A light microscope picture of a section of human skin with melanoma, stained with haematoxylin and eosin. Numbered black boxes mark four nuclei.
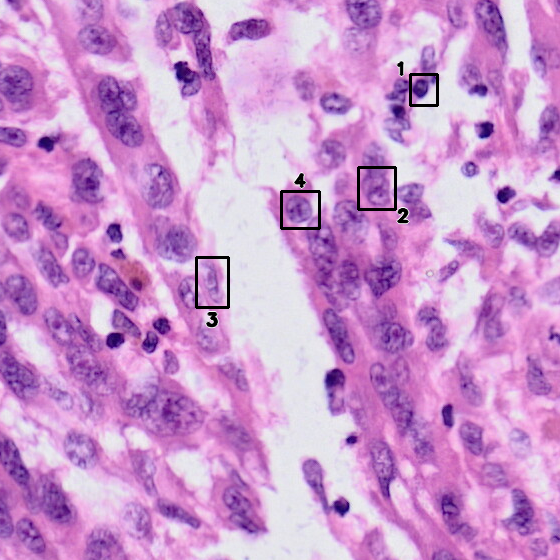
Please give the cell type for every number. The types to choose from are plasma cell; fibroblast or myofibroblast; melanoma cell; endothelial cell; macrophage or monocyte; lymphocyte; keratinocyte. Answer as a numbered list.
1. lymphocyte
2. melanoma cell
3. melanoma cell
4. melanoma cell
